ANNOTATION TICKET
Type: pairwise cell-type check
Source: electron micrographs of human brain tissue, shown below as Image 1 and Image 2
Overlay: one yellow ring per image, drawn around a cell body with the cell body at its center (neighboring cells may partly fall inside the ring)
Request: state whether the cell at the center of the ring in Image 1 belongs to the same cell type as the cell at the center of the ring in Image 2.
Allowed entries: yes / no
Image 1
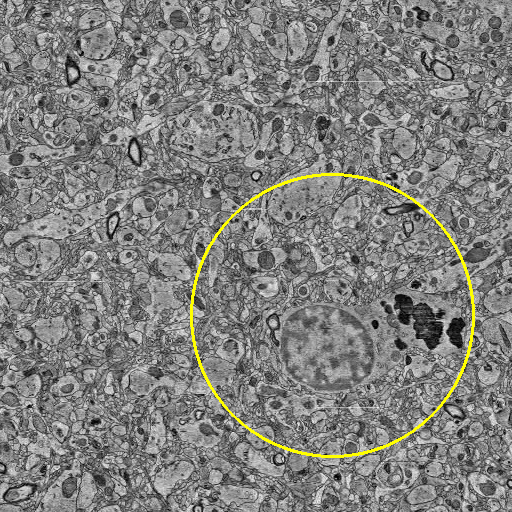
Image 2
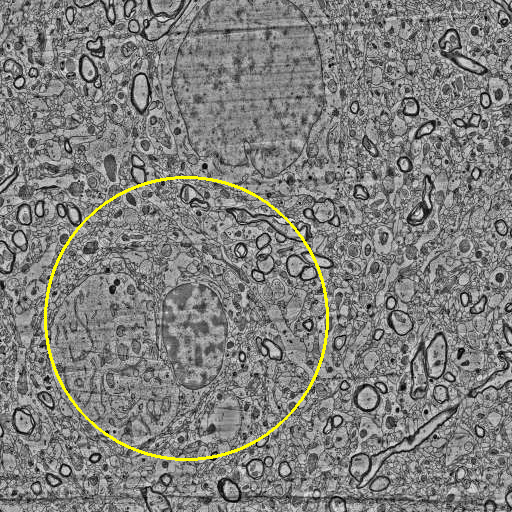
no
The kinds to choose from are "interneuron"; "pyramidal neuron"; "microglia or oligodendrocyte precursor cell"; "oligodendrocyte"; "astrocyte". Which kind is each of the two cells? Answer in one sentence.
Of the two, the first cell is an oligodendrocyte and the second cell is a microglial cell or oligodendrocyte precursor cell.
